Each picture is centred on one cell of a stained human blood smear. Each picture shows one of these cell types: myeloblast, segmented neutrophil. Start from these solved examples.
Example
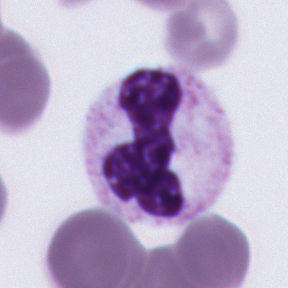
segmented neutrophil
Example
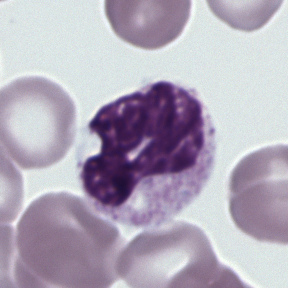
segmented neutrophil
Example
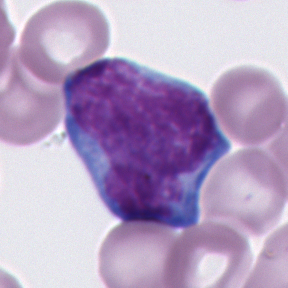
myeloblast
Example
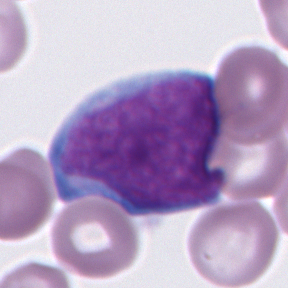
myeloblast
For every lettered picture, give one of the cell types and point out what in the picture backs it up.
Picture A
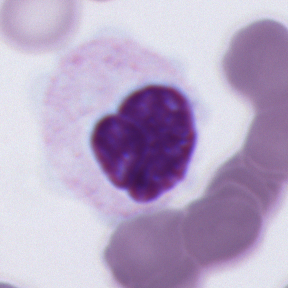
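Answer: segmented neutrophil. The cytoplasm is abundant compared with the nucleus.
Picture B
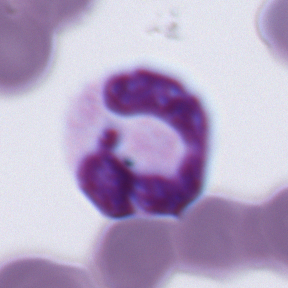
Answer: segmented neutrophil. The cytoplasm is pale pink.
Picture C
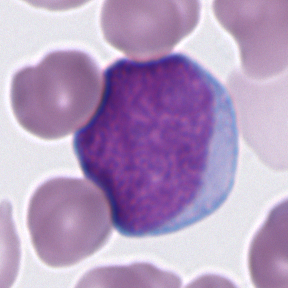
Answer: myeloblast. The cytoplasm forms a narrow crescent on the right side of the cell.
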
